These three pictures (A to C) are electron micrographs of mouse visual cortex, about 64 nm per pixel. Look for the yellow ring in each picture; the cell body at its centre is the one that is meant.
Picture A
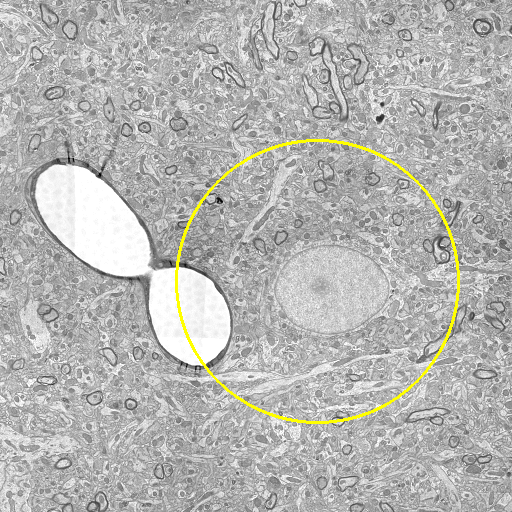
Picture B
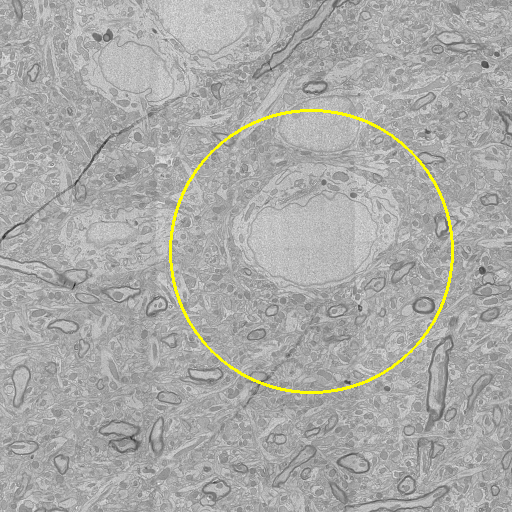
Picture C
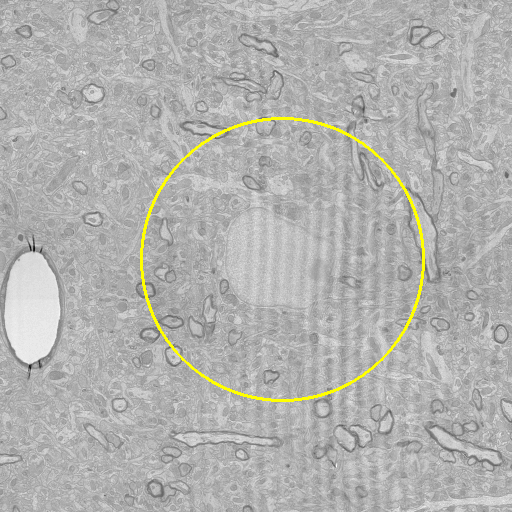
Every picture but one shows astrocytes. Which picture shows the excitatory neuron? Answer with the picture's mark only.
B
